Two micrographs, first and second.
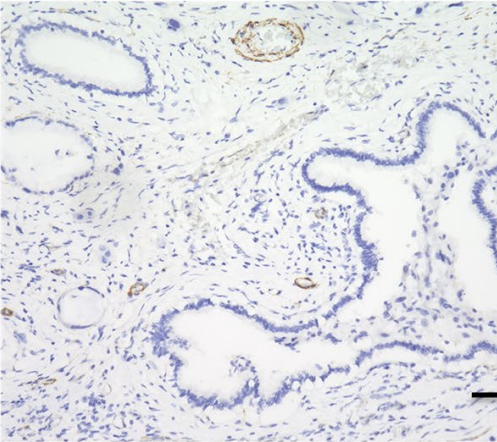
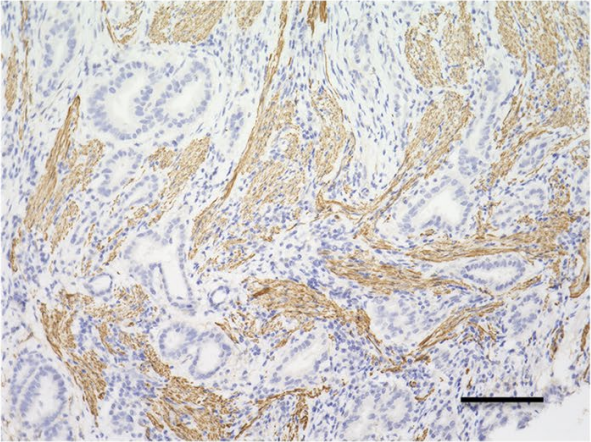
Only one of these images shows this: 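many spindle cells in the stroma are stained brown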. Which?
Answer: The second image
